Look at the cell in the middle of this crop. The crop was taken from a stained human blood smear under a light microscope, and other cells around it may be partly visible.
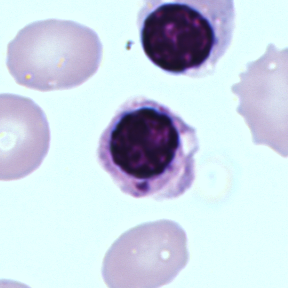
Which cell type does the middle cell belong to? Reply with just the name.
normoblast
